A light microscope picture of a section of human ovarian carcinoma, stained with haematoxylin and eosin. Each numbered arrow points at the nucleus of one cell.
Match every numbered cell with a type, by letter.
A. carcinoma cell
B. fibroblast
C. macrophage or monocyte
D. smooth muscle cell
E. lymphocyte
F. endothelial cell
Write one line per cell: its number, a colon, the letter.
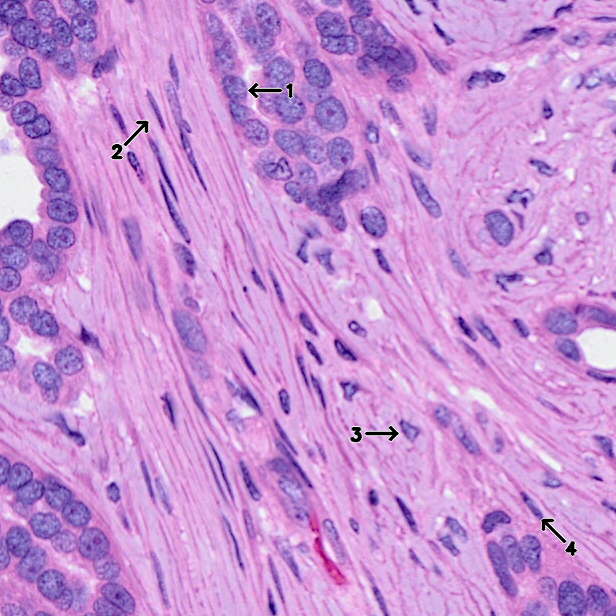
1: A
2: B
3: B
4: B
